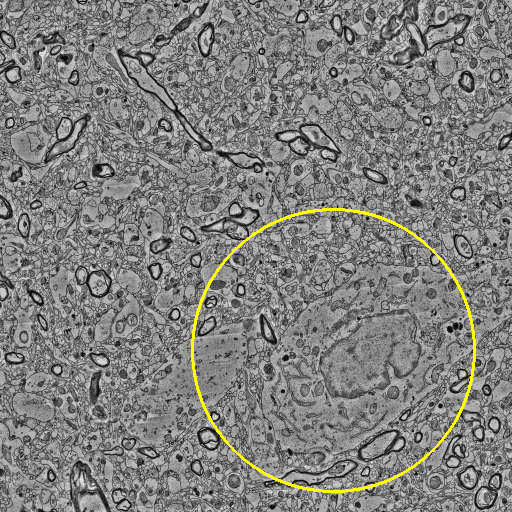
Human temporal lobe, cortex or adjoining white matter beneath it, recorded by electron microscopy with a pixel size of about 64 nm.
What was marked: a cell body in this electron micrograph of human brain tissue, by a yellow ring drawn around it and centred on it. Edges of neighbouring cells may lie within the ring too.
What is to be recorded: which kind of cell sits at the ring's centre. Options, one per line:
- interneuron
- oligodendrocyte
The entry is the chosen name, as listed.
interneuron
